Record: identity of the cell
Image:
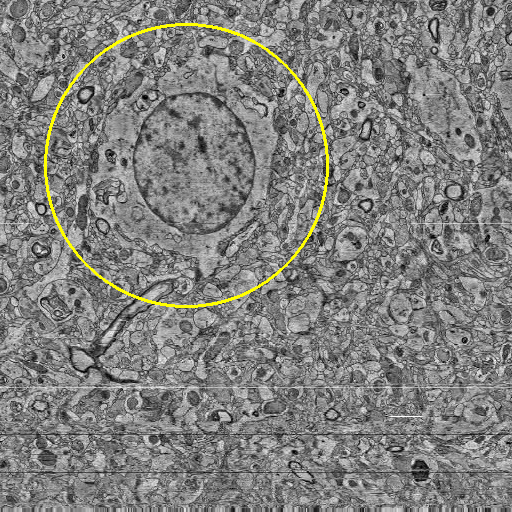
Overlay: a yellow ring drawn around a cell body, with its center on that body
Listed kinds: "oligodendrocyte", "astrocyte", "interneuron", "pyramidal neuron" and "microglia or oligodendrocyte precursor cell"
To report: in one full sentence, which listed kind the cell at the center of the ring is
In the image, the cell body at the ring's center belongs to an astrocyte.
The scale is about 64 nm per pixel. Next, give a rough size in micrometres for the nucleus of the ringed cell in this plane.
In this plane, the nucleus of the cell at the centre of the ring measures about 9 by 8 micrometres.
